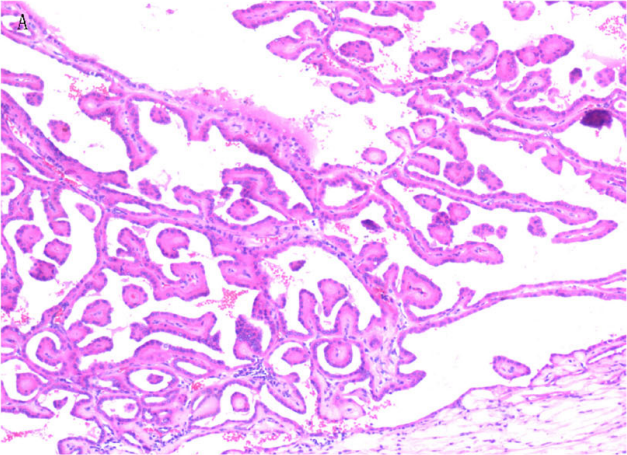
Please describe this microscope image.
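At low power this tumor is built of branching papillae, each with a thin fibrovascular core covered by one layer of pink epithelial cells. The papillae project into open spaces, and a band of fibrous tissue runs along the lower edge of the field.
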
